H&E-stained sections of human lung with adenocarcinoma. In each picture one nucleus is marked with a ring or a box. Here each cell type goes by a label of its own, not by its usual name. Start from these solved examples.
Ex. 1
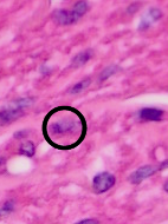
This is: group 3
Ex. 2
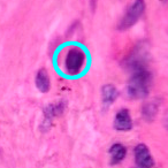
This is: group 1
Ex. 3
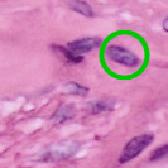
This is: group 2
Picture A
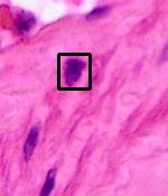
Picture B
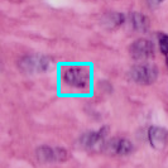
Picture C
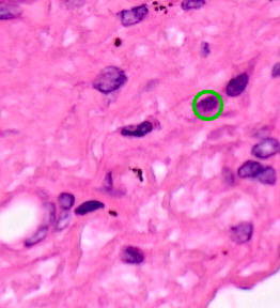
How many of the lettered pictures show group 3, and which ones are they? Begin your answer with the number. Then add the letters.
Count: 1 (A)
